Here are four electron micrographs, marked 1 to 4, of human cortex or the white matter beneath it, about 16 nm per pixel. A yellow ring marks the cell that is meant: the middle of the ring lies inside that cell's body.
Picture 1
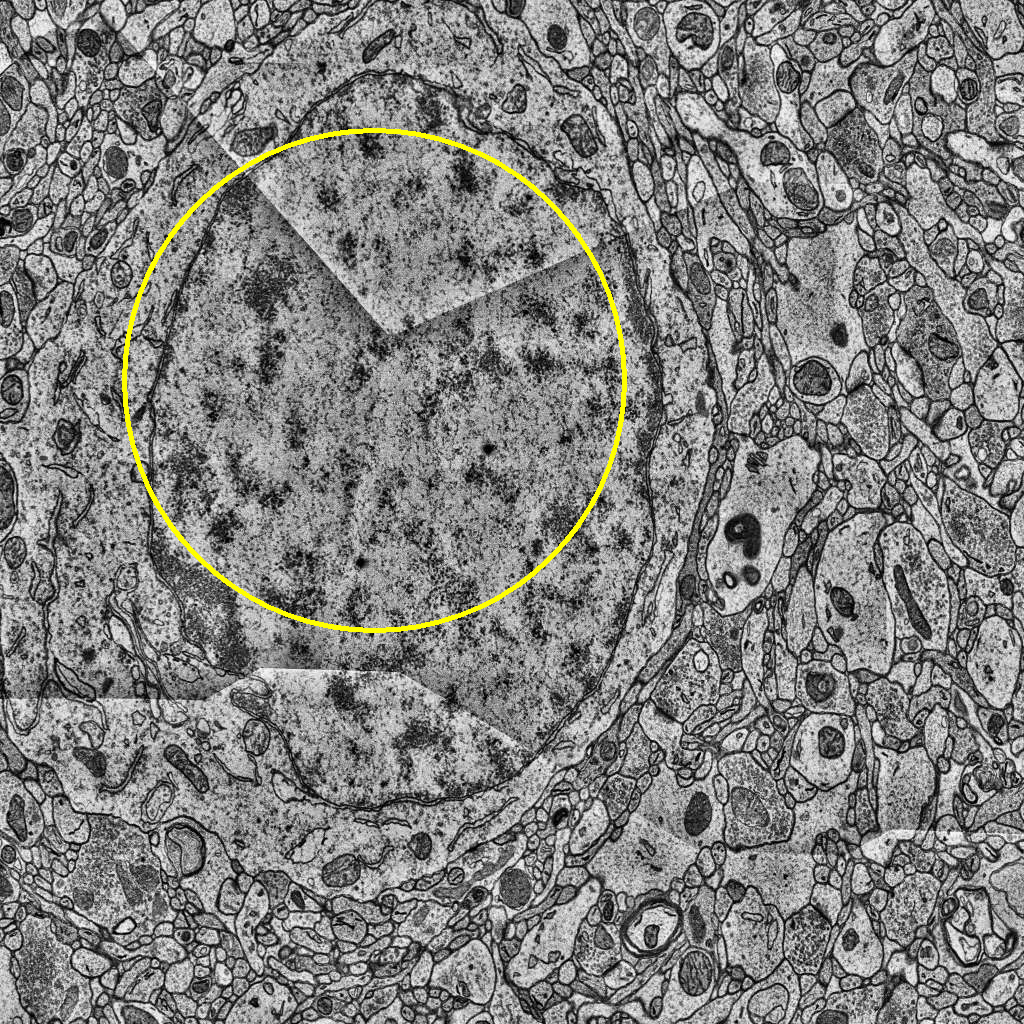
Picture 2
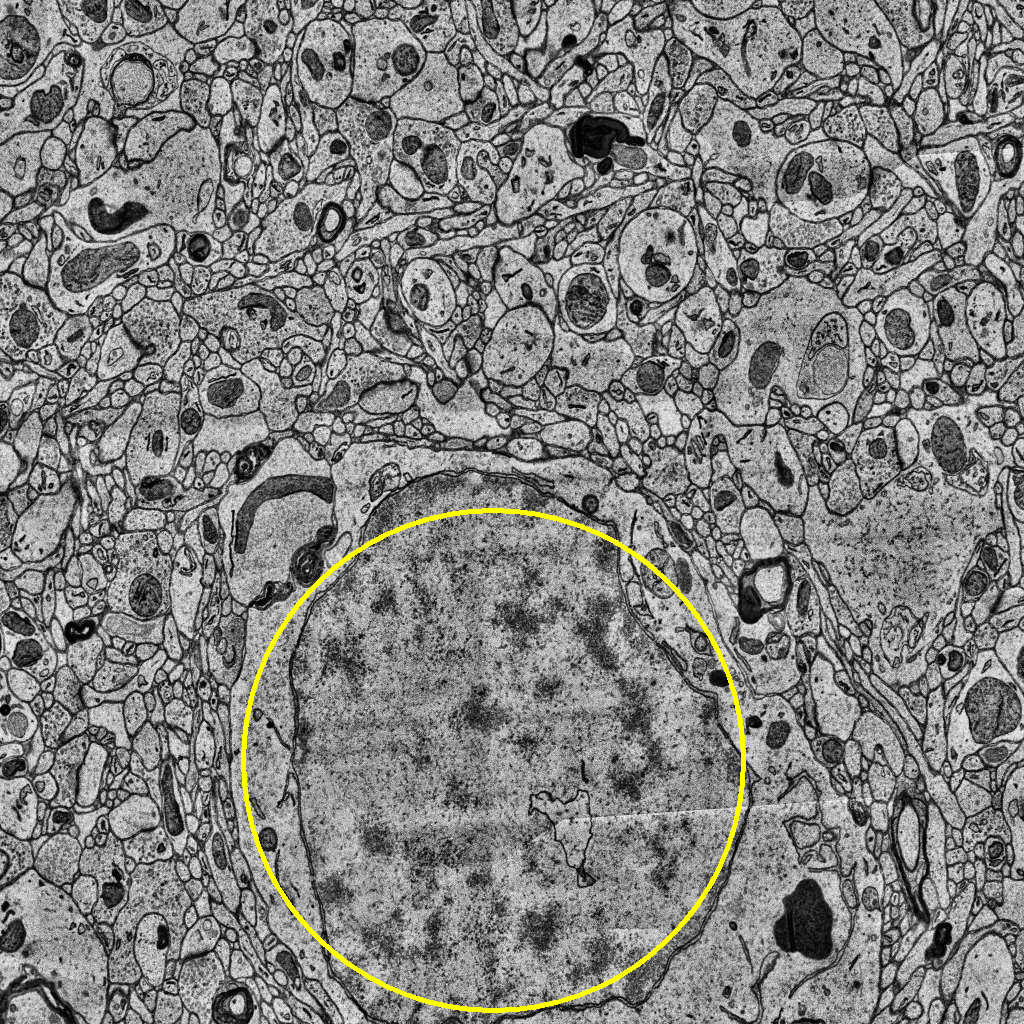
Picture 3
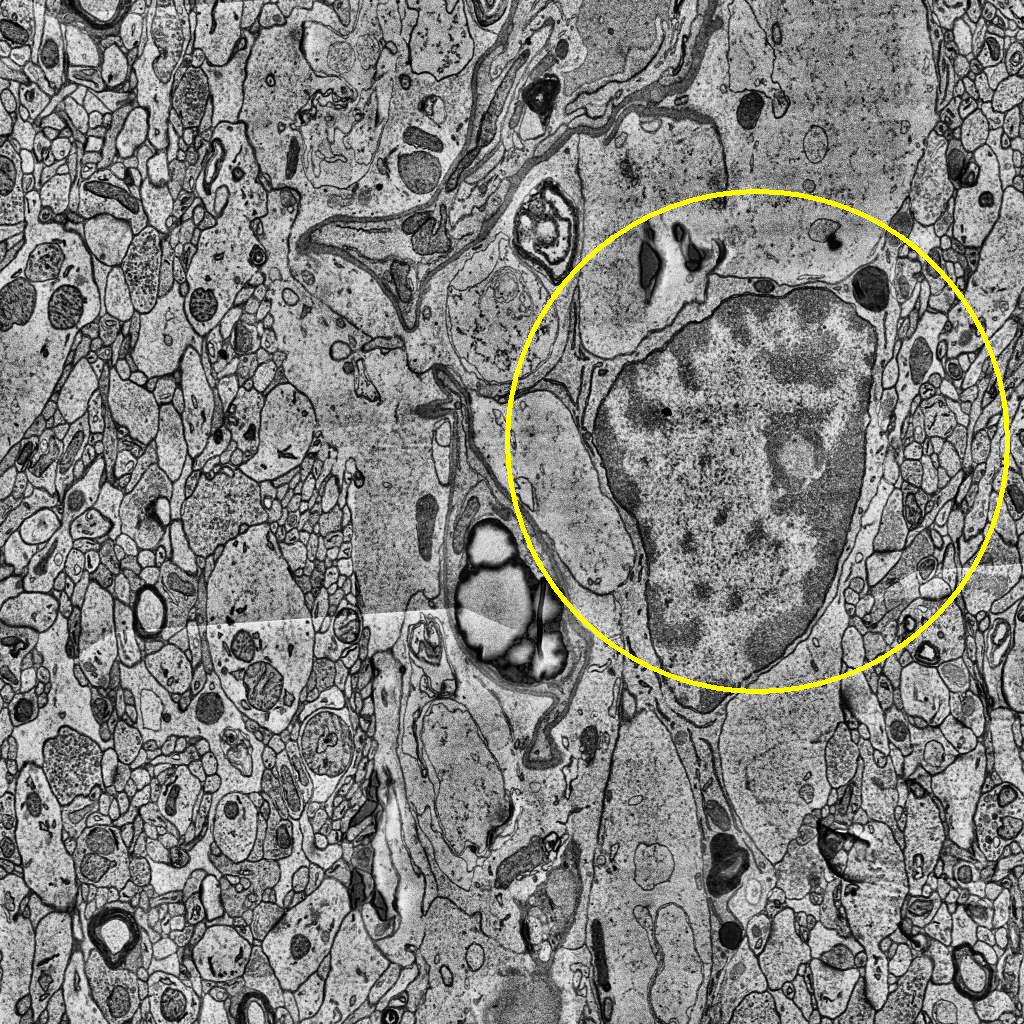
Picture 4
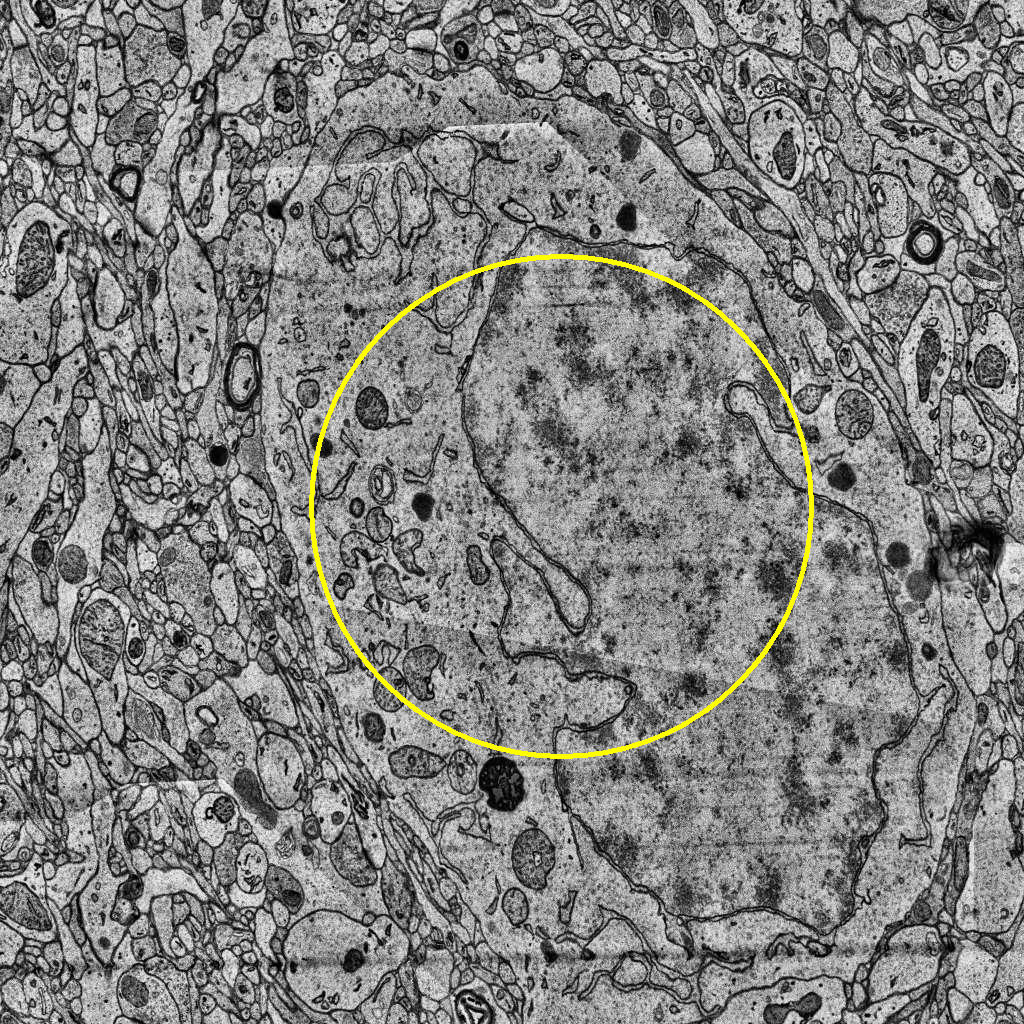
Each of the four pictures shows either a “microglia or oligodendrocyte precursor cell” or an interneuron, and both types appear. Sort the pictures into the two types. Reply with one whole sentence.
Picture 3 shows a “microglia or oligodendrocyte precursor cell”, while pictures 1, 2 and 4 show interneurons.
